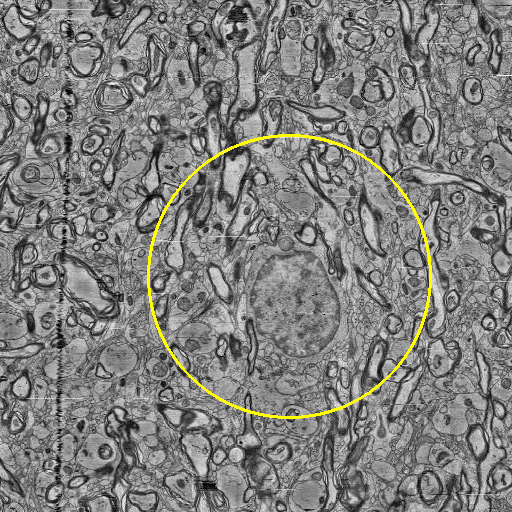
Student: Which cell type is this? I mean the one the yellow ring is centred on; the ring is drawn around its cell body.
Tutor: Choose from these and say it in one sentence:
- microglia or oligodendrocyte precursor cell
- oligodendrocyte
The cell the ring is centred on is an oligodendrocyte.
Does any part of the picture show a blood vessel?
No, no blood vessel shows in the picture.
